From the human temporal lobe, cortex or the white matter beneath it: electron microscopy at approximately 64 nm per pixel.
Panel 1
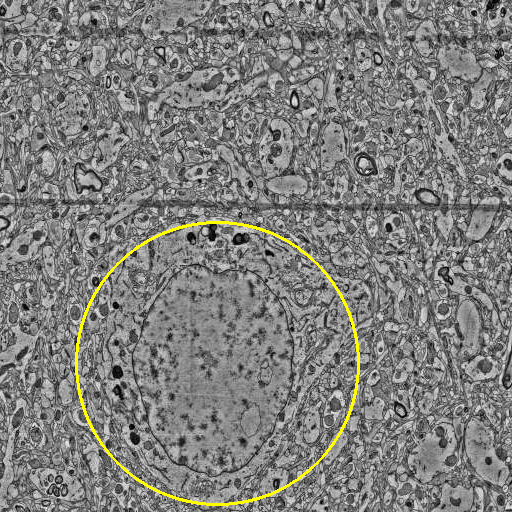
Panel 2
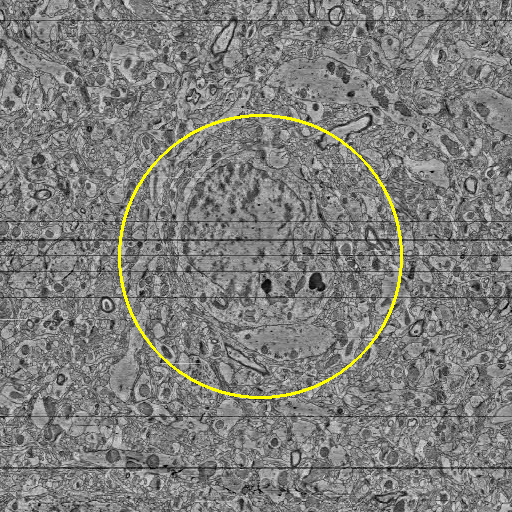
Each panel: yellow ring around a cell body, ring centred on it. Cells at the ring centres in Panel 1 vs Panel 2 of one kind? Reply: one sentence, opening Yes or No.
No, Panel 1 and Panel 2 have cells of two kinds at the ring centres.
